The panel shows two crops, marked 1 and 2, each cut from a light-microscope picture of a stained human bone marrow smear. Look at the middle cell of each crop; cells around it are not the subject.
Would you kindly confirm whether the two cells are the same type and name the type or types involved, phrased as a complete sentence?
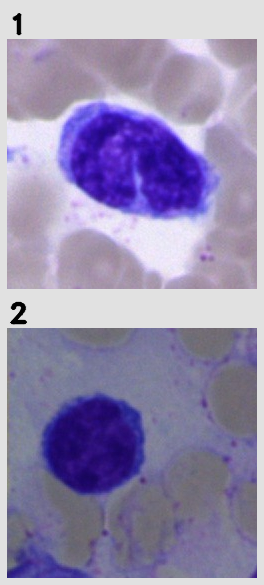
No, crop 1 shows a monocyte, and crop 2, by contrast, shows a lymphocyte.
